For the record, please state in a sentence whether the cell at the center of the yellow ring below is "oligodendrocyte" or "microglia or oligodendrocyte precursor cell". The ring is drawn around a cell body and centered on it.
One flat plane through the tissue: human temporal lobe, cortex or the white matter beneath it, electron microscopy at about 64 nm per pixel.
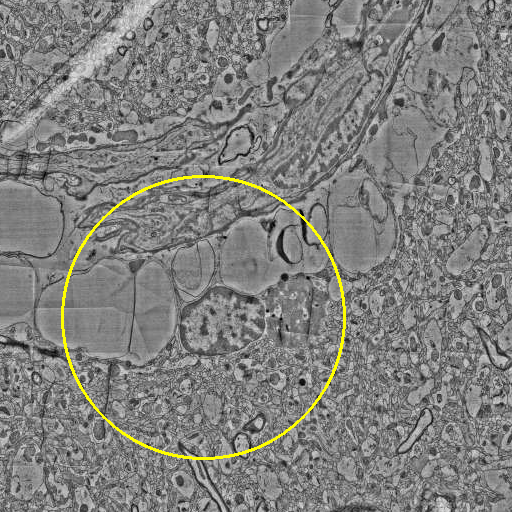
The cell at the ring's center is a microglial cell or oligodendrocyte precursor cell.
